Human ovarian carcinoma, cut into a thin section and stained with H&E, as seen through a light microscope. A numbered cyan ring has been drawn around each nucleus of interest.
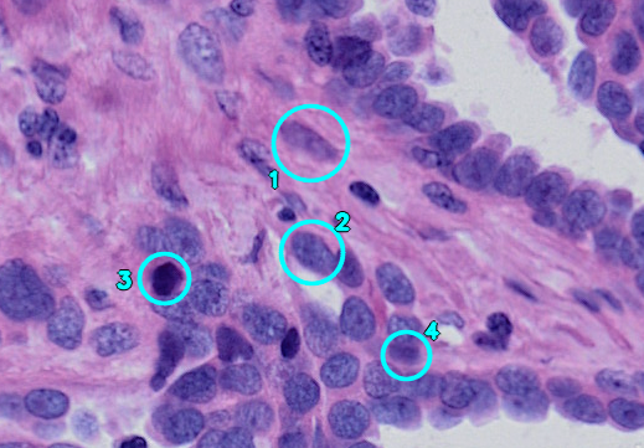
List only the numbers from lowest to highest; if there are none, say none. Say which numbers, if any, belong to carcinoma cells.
2, 3, 4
